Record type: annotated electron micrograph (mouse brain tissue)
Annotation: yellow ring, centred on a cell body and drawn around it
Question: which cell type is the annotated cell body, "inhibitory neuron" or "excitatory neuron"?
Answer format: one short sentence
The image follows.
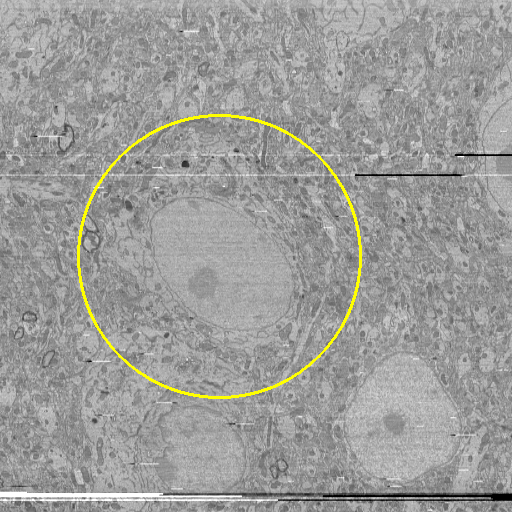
The annotated cell body is that of an excitatory neuron.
